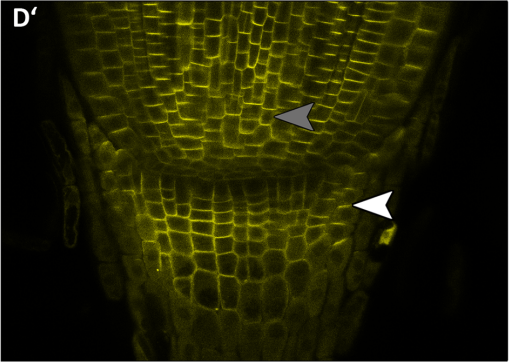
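Root tip at higher magnification showing the stem cell niche region, cells outlined by yellow membrane fluorescence. Above a curved boundary run files of small rectangular cells; below it lie tiers of larger, boxy cap cells. Signal is stronger on some cell faces than others, pointed out by a grey and a white arrowhead.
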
